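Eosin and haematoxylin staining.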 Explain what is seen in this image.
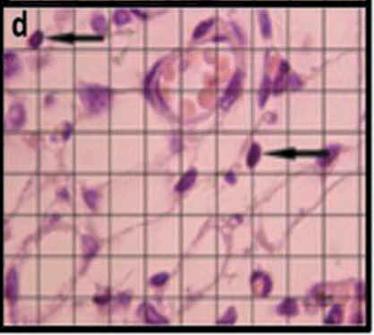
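Thin, wavy pale pink fibres run across a light background. Many purple nuclei lie scattered between the fibres; some are spindle-shaped or oval, and others are small, round and darkly stained with scant cytoplasm, typical of lymphocytes. Near the upper middle is a small round vessel outlined by a thin wall and containing reddish blood cells. The cells are spread fairly evenly, singly or in small groups, rather than forming dense clusters.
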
